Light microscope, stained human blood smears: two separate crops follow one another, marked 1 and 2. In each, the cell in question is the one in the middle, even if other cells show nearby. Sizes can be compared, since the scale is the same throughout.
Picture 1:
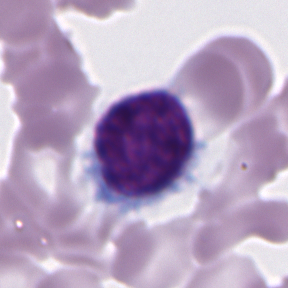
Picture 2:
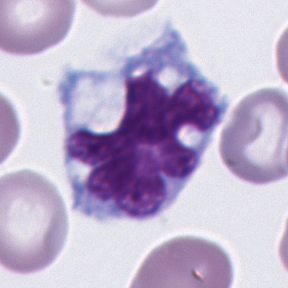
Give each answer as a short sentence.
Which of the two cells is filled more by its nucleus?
The nucleus fills more of the cell in picture 1 than in picture 2.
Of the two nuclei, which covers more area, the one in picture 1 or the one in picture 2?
It is the nucleus in picture 2, about 1.5 times as large in area as the one in picture 1.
